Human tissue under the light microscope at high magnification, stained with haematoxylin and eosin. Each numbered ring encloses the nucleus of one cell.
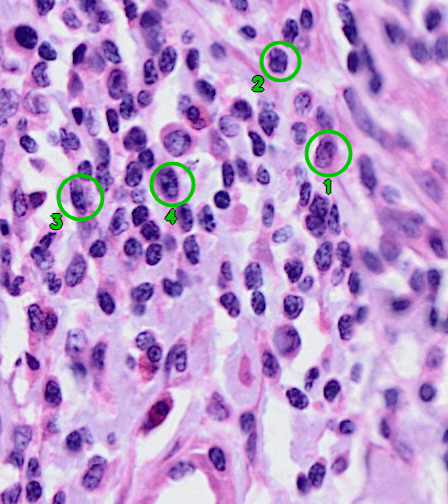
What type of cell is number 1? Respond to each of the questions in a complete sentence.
Belonging to a macrophage or monocyte is the nucleus that carries the number 1.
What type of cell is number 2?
It is as a lymphocyte that the cell numbered 2 is identified.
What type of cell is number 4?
The numbered cell 4 in this field is a lymphocyte.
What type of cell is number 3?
Here, the cell given the number 3 is a lymphocyte.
